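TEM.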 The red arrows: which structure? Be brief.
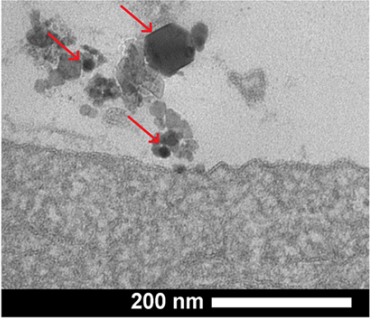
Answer: Nanoparticles.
